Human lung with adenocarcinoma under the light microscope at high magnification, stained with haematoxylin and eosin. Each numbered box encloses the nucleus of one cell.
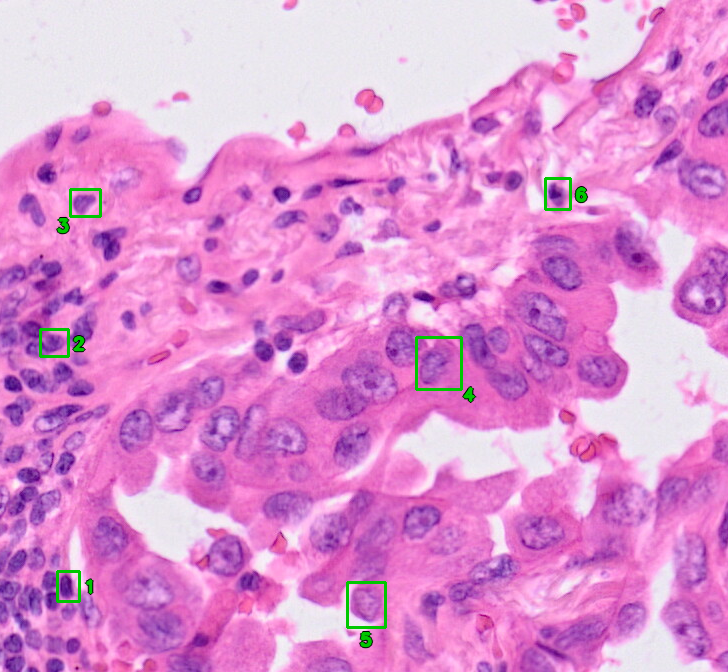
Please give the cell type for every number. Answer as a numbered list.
1. lymphocyte
2. lymphocyte
3. lymphocyte
4. carcinoma cell
5. carcinoma cell
6. lymphocyte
